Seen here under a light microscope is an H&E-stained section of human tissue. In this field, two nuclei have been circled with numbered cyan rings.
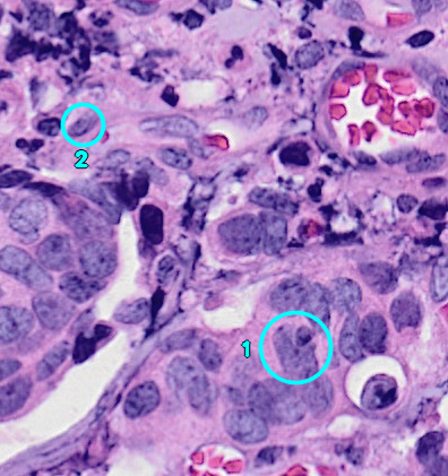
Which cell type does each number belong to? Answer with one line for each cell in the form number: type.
1: carcinoma cell
2: endothelial cell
